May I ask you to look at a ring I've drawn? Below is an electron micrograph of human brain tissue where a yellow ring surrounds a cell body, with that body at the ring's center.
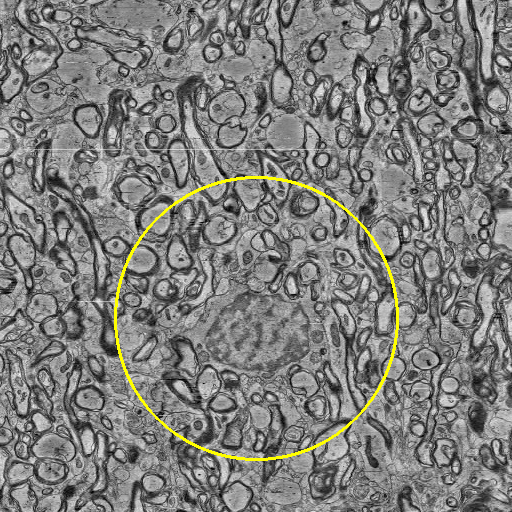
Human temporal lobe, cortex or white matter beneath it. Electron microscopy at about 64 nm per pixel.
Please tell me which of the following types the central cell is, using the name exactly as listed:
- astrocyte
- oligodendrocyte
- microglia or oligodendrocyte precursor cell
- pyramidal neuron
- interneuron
oligodendrocyte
